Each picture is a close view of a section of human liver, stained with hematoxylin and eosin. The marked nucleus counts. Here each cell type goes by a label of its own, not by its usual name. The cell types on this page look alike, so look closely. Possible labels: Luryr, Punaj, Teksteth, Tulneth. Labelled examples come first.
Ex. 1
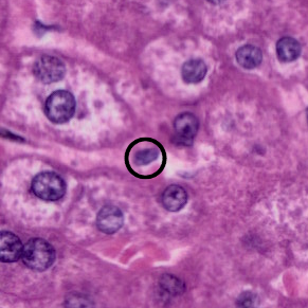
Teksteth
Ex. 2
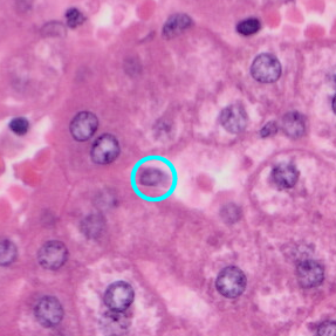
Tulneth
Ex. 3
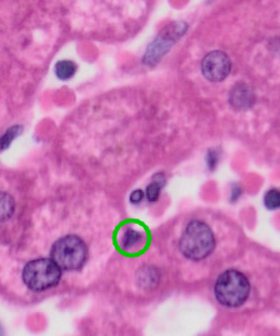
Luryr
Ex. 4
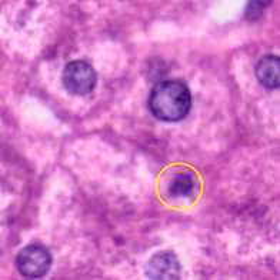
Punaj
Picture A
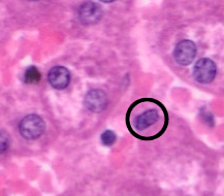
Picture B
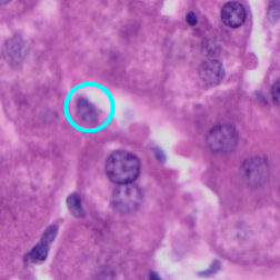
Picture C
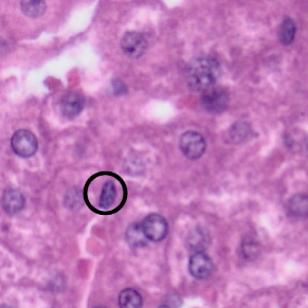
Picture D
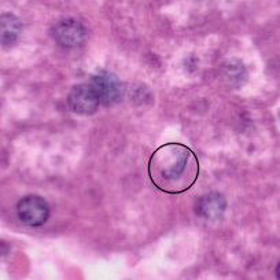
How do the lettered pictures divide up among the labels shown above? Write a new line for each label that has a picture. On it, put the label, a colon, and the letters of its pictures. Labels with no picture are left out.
Luryr: A, C
Punaj: D
Tulneth: B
